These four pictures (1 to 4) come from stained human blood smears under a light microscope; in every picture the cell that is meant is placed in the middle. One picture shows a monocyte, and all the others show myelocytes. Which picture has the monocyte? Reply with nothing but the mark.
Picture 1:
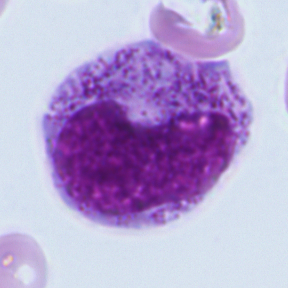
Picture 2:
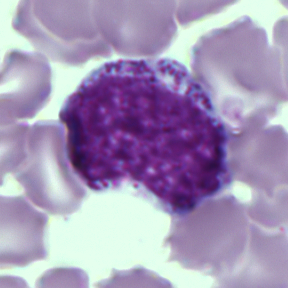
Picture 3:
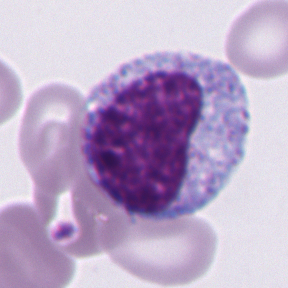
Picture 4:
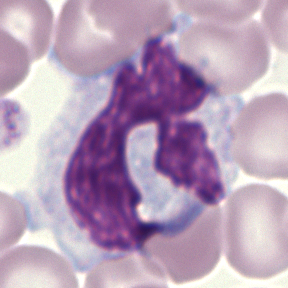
4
